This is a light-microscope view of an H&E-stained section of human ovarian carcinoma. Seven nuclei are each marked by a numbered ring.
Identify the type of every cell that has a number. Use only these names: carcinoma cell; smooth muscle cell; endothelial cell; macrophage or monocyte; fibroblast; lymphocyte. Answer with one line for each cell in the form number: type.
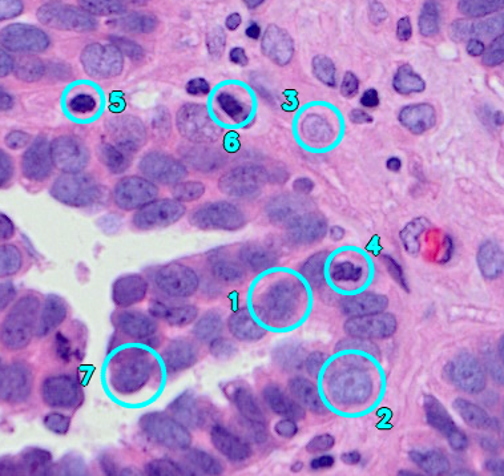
1: carcinoma cell
2: carcinoma cell
3: fibroblast
4: lymphocyte
5: lymphocyte
6: lymphocyte
7: carcinoma cell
